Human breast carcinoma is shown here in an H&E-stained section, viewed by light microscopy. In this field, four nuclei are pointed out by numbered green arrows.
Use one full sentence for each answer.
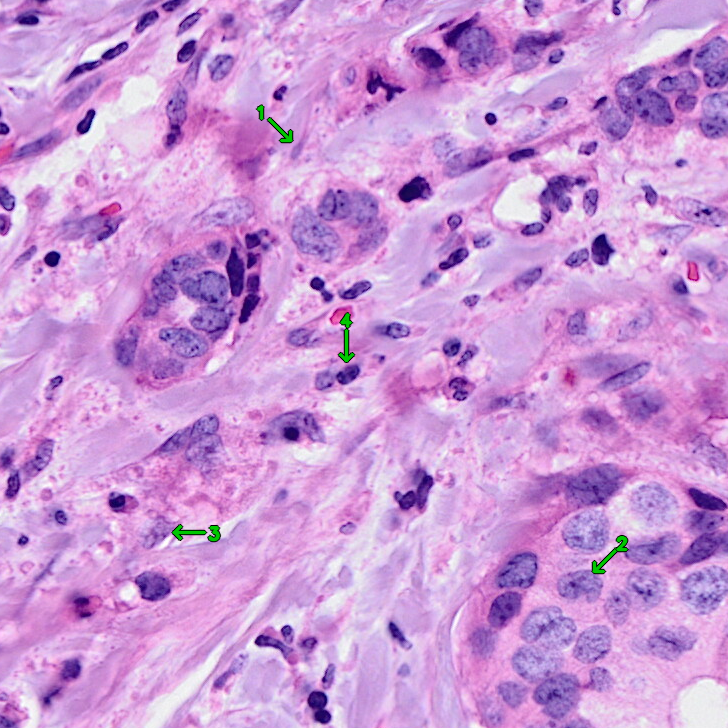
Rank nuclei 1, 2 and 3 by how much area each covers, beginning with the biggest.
The nuclei rank 2, 3, 1, from largest to smallest.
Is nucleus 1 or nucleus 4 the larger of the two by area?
It is nucleus 4, which covers about 2 times the area of nucleus 1.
